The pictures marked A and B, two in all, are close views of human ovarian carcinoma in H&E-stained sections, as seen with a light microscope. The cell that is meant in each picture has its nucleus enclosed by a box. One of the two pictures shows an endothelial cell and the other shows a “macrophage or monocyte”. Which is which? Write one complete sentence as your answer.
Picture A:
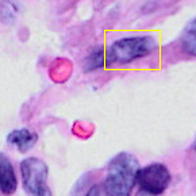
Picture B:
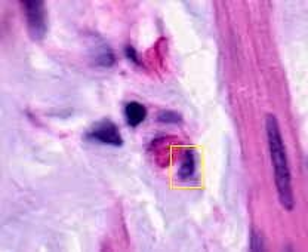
Picture A is of a “macrophage or monocyte”, and picture B is of an endothelial cell.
